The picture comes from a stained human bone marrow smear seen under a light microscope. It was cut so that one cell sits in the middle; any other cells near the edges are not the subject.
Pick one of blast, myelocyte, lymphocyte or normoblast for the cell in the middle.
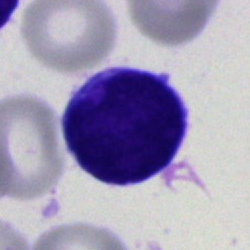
blast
